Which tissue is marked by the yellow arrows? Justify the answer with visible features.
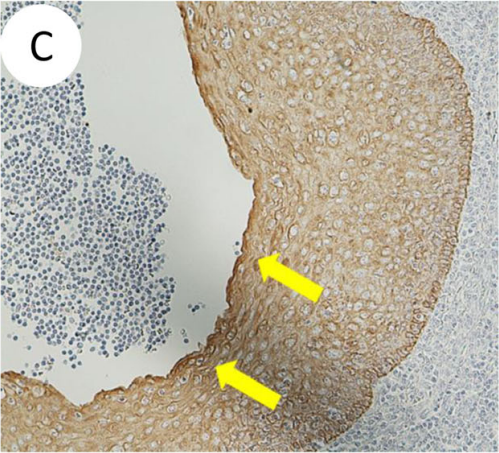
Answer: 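Crypt epithelium. A thick brown-stained stratified epithelium lines an open space. The space holds many small round blue-nucleated lymphocytes. Unstained lymphoid tissue lies beyond the epithelium on the right.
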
